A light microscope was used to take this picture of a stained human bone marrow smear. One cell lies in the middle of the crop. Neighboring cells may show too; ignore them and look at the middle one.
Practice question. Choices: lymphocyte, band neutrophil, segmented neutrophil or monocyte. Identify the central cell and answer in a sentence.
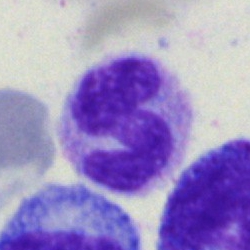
At the center of the crop sits a monocyte.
